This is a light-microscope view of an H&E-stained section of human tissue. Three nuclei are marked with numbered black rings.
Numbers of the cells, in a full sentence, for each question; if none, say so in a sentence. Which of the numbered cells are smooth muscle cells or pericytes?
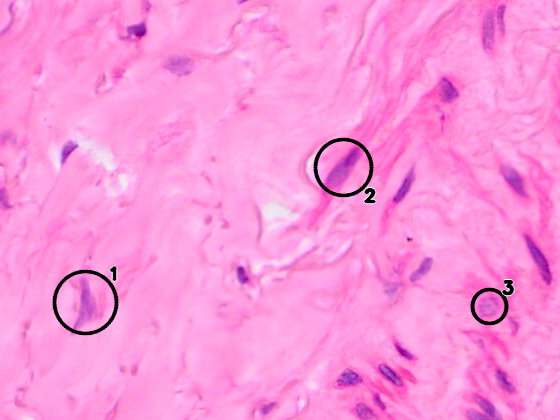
The cells given the numbers 2 and 3 are smooth muscle cells or pericytes.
